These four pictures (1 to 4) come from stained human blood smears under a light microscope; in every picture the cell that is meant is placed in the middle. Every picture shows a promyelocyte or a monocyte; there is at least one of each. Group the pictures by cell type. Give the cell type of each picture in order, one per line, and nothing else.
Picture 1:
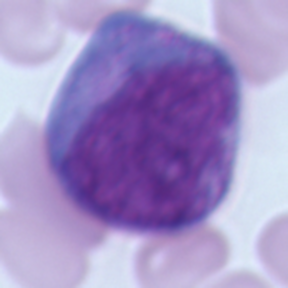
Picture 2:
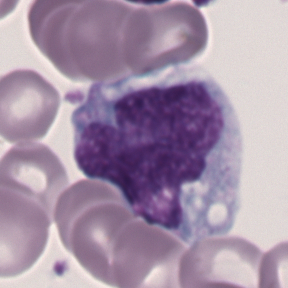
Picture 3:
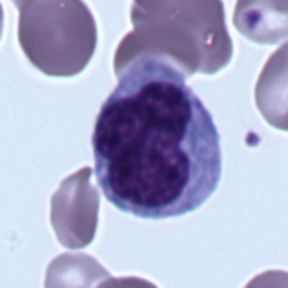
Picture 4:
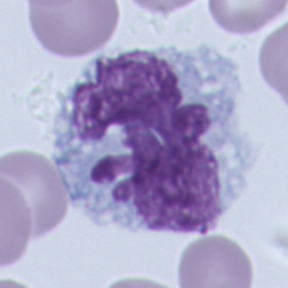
promyelocyte
monocyte
monocyte
monocyte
